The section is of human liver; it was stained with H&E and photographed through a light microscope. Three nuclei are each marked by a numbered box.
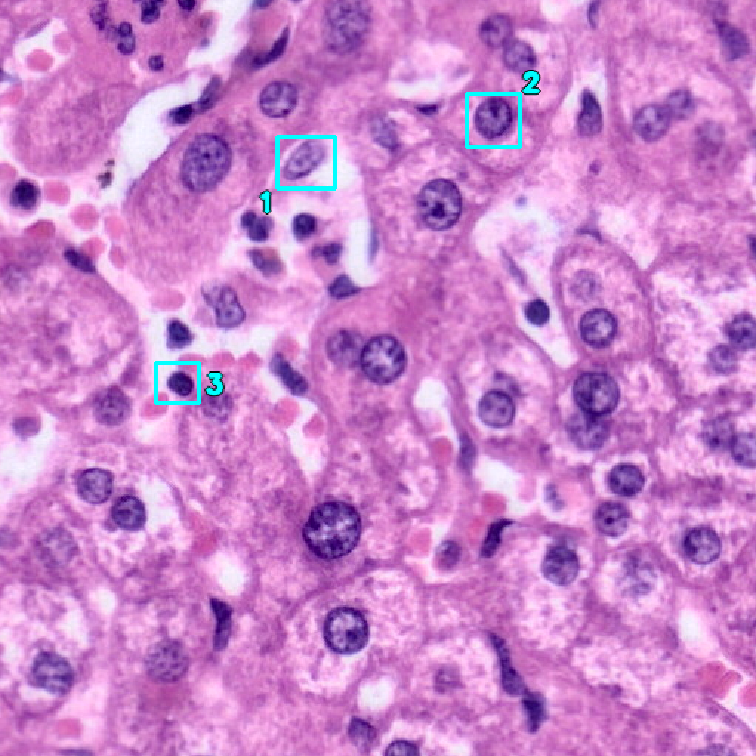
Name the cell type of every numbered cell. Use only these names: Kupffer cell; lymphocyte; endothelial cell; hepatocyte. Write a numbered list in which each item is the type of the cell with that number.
1. Kupffer cell
2. hepatocyte
3. lymphocyte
